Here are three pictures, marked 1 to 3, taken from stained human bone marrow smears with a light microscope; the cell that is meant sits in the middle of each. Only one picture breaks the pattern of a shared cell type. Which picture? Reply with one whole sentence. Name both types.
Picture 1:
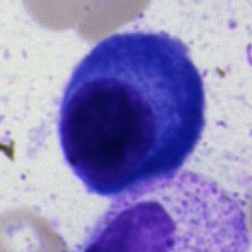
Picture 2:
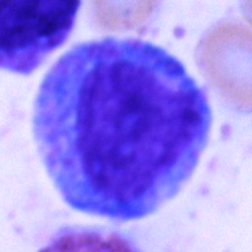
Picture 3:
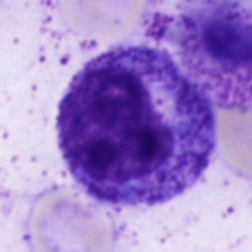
All pictures except 1 show promyelocytes; picture 1 shows a plasma cell.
